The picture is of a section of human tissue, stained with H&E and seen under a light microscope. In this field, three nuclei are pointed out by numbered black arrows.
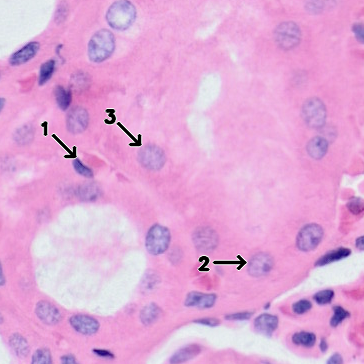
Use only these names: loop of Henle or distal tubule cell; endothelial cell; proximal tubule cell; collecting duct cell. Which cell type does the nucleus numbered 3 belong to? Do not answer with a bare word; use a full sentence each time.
Cell 3 should be recorded as a proximal tubule cell.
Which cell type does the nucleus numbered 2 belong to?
The marked cell with the number 2 is recognised as a proximal tubule cell.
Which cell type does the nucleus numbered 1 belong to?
Number 1 among the marked cells is an endothelial cell.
